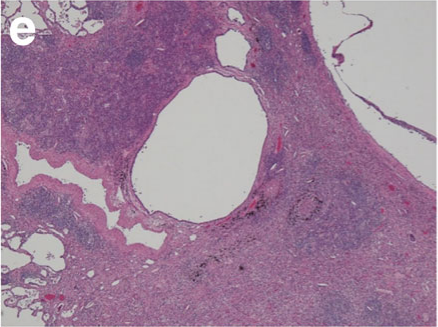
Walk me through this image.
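At low magnification, lung tissue is largely replaced by cellular fibrous tissue with a proliferation of fibroblasts. Pale pink, streaming stroma fills the lower part of the field. A large round empty space with a thin pink wall sits in the middle. Scattered black pigment lies in the tissue around it.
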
